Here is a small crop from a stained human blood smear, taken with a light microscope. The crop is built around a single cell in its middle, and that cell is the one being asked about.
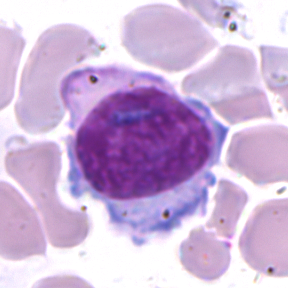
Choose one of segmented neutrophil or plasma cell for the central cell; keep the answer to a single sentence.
Of the cells in this crop, the central one is a plasma cell.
